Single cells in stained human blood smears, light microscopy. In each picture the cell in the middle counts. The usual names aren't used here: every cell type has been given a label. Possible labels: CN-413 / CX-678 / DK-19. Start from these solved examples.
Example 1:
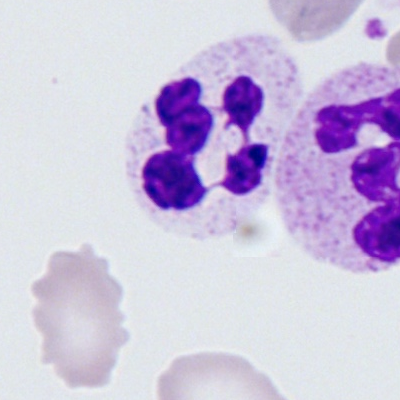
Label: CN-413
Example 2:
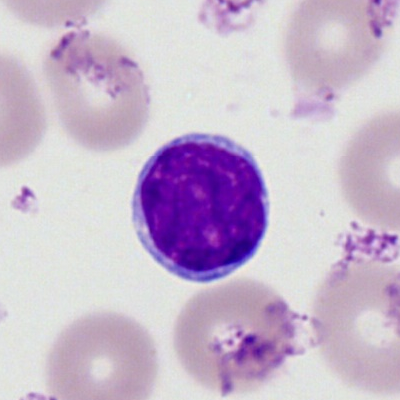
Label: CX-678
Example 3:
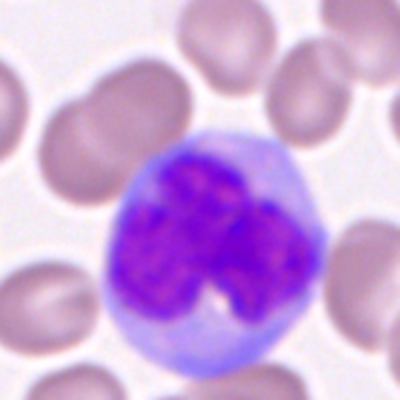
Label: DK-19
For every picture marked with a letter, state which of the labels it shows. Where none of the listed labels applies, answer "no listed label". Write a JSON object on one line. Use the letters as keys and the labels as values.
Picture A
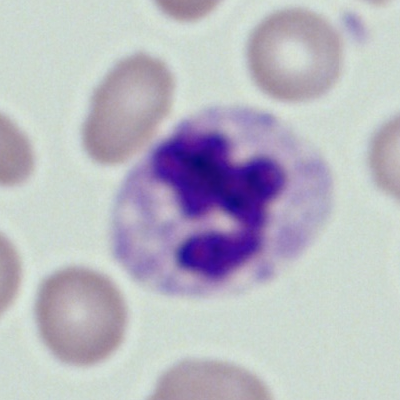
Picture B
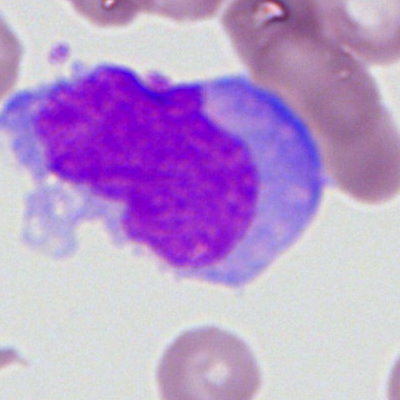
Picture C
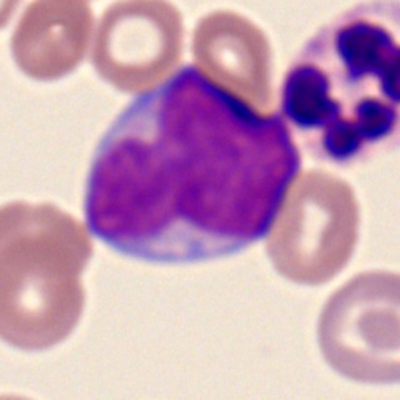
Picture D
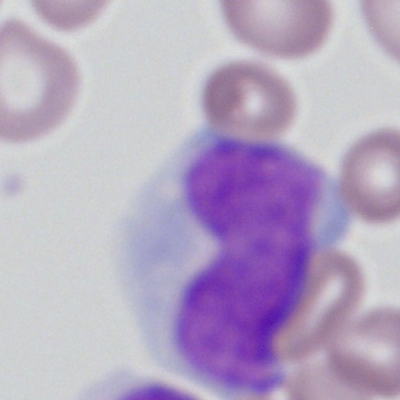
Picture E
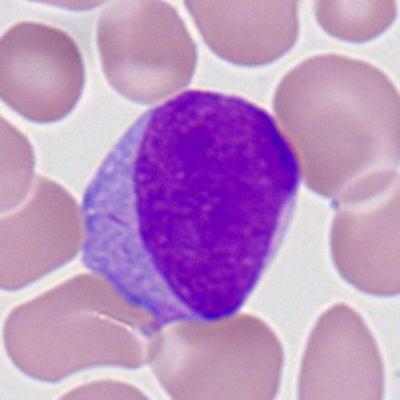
{"A": "CN-413", "B": "DK-19", "C": "no listed label", "D": "DK-19", "E": "no listed label"}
